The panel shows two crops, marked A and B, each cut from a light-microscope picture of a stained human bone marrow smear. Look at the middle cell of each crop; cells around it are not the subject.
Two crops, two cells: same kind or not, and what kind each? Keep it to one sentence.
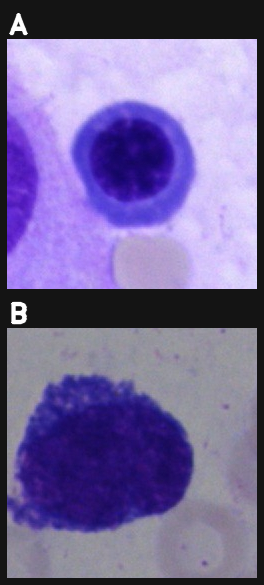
No, crop A shows a normoblast, whereas a blast is what crop B shows.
